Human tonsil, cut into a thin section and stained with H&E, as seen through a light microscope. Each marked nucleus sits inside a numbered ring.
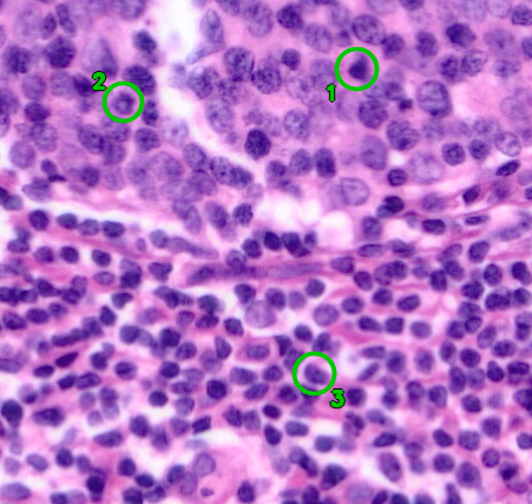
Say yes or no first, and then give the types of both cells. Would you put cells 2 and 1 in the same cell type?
Yes, both are proliferating B cells.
